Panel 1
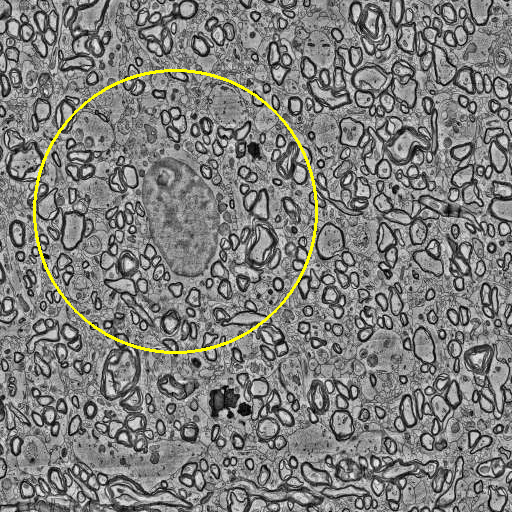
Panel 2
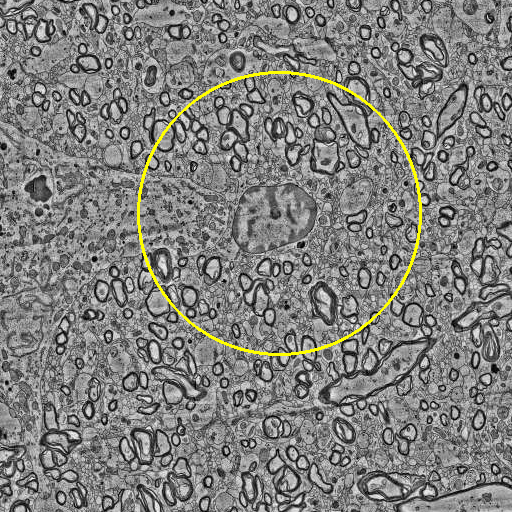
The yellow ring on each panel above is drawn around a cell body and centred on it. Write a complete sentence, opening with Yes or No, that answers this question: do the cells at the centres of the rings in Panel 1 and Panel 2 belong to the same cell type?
No, the two cells belong to two cell types.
